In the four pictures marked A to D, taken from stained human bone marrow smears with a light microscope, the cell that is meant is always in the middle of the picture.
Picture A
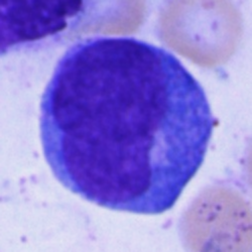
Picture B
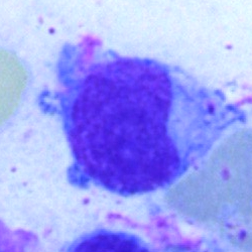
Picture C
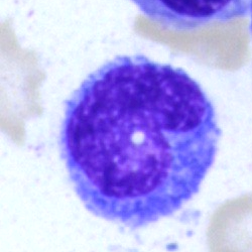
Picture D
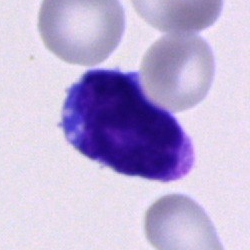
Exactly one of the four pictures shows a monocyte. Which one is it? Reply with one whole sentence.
The cell in picture C is the monocyte.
